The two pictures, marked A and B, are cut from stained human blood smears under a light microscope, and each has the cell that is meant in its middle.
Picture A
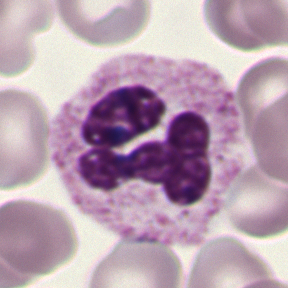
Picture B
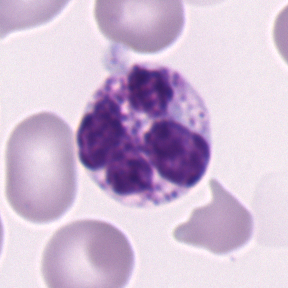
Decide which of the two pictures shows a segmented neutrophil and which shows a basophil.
A: segmented neutrophil
B: basophil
